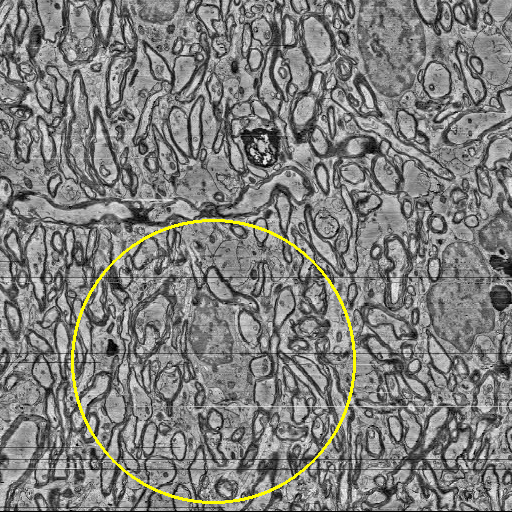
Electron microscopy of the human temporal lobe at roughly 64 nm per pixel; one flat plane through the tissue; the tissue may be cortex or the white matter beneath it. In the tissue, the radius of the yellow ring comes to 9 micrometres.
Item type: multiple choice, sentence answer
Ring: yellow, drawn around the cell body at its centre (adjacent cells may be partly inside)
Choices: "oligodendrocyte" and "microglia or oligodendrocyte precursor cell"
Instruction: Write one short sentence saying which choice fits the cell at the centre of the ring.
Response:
This ring is drawn around an oligodendrocyte.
